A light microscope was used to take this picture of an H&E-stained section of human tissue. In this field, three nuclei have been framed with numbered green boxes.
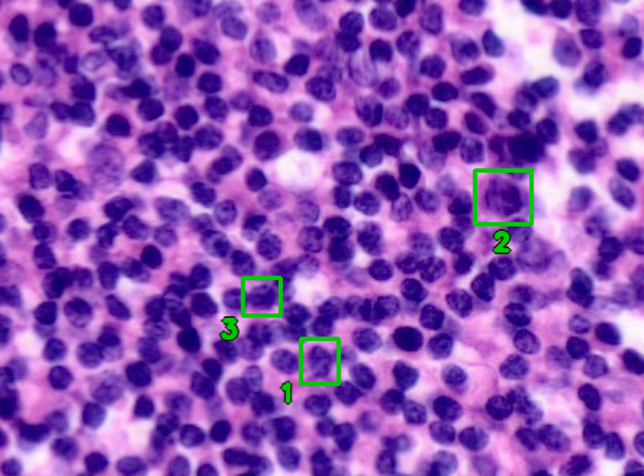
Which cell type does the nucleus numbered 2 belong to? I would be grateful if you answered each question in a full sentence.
The mark numbered 2 indicates the nucleus of a proliferating B cell.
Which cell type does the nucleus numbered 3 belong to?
As for number 3, that cell is a small lymphocyte.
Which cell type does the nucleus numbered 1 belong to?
Cell 1 is classified as a small lymphocyte.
